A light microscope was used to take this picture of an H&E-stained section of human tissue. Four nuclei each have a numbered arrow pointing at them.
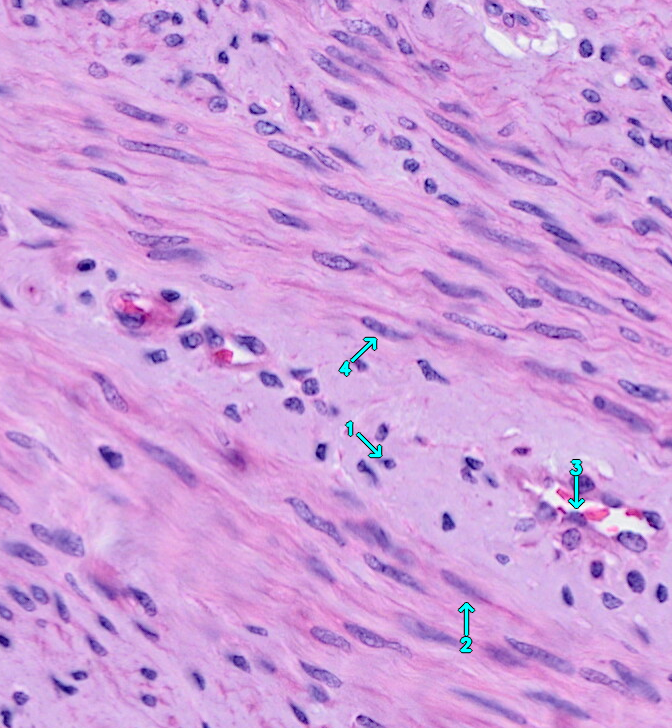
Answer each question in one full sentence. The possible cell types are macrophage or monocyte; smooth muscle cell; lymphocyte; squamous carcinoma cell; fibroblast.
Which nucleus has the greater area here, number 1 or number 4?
It is nucleus 4, which covers about 2.5 times the area of nucleus 1.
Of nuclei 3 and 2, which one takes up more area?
Number 2 is larger; its area is about 2.5 times that of number 3.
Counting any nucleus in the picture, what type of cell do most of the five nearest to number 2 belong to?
Smooth muscle cells make up most of the five nuclei closest to number 2.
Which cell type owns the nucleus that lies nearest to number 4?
The nearest nucleus to number 4 belongs to a fibroblast.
